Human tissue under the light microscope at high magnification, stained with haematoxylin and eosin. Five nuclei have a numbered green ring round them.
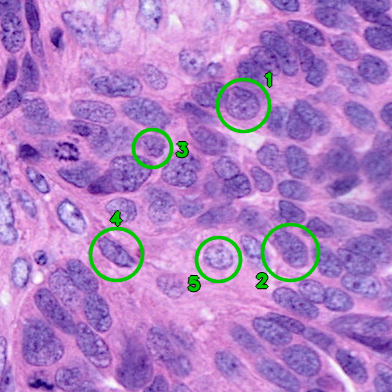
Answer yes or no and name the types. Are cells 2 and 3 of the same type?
Yes, cells 2 and 3 are both carcinoma cells and thus of one type.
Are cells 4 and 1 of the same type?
No, that's off: cell 4 is a fibroblast and cell 1 is a carcinoma cell.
